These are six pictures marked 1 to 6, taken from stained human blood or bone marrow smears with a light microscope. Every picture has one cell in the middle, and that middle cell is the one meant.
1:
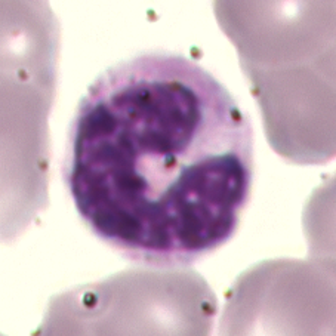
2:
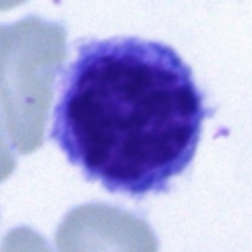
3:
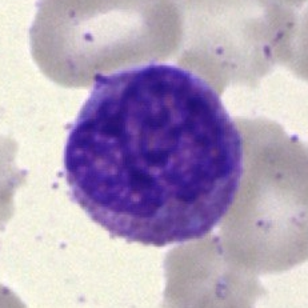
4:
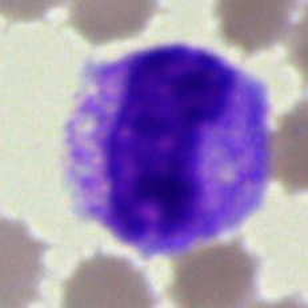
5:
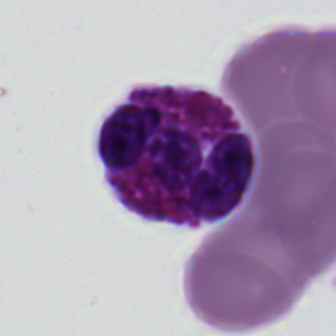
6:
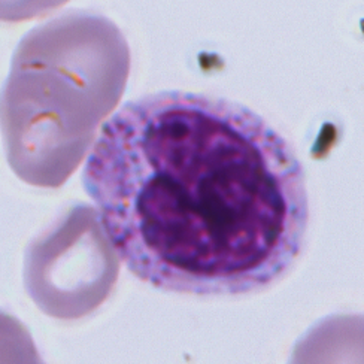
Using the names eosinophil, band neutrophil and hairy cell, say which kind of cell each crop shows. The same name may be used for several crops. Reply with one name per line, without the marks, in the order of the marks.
band neutrophil
hairy cell
eosinophil
band neutrophil
eosinophil
band neutrophil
